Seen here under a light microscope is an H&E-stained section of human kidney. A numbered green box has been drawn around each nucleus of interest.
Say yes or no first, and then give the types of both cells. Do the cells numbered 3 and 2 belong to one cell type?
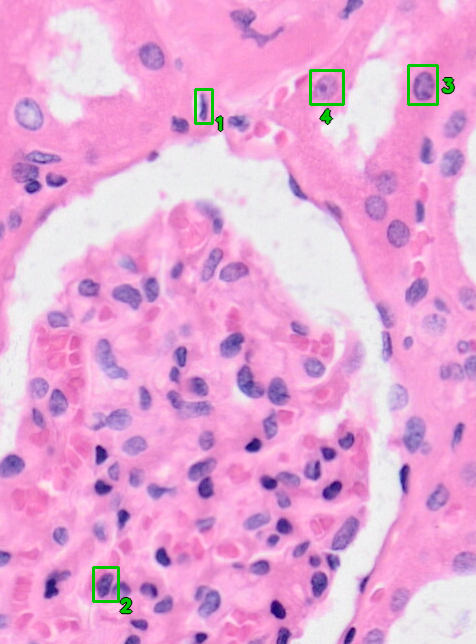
No, cell 2 is an endothelial cell, whereas cell 3 is a proximal tubule cell.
